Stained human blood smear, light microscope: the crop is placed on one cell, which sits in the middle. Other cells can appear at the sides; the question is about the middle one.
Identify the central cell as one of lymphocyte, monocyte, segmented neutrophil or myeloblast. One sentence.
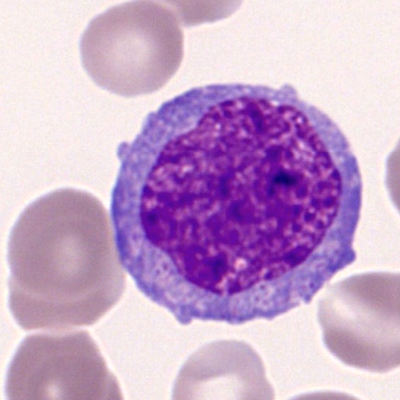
By type, the central cell of the crop is a monocyte.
